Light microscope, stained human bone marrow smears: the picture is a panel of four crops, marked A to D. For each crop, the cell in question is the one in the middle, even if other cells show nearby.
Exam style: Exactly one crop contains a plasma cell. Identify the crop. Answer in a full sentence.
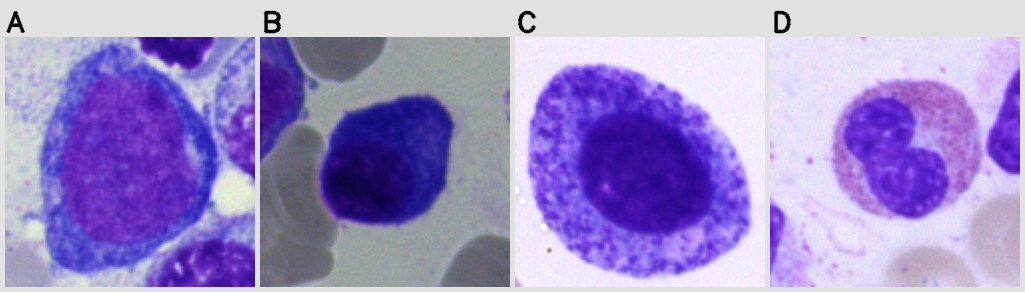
Of all the crops, crop B is the one showing a plasma cell.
